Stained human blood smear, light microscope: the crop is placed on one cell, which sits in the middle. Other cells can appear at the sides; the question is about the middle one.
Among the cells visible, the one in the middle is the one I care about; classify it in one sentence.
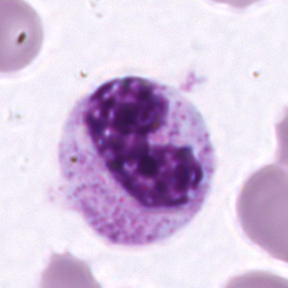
This crop is built around a band neutrophil at its centre.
